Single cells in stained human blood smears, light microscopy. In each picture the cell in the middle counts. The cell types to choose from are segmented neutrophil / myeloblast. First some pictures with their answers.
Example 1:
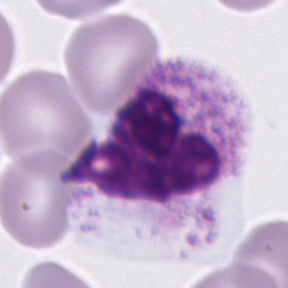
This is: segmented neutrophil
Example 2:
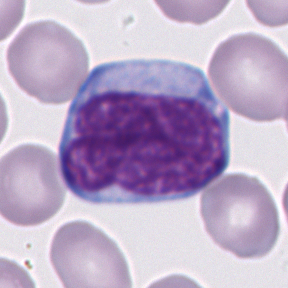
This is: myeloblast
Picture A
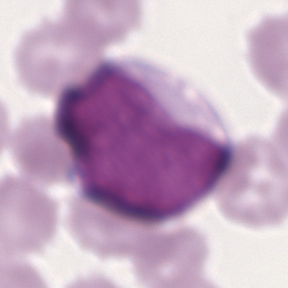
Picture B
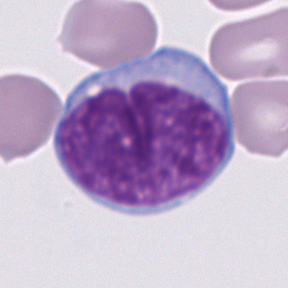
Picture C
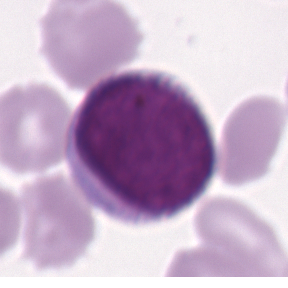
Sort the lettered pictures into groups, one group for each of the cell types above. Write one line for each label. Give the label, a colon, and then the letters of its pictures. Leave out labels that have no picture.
myeloblast: A, B, C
